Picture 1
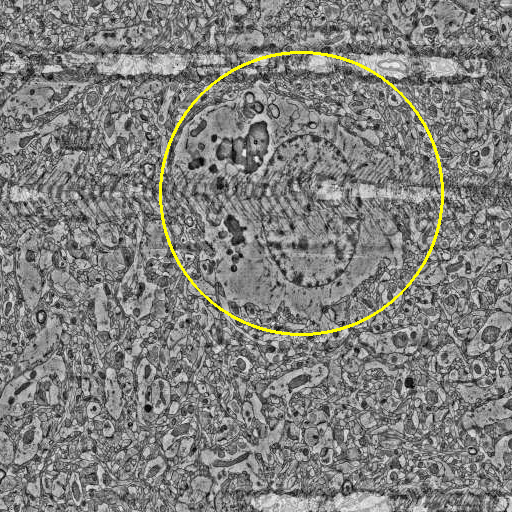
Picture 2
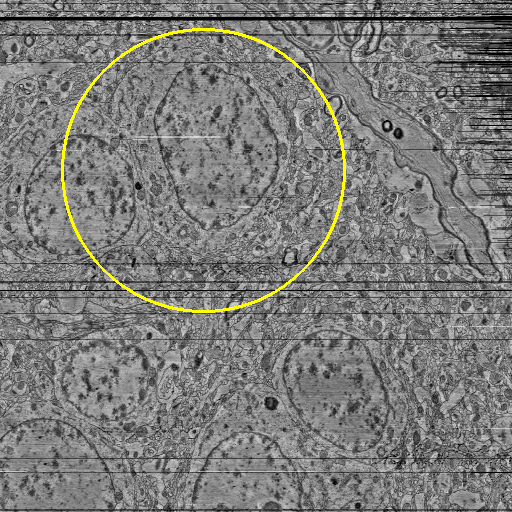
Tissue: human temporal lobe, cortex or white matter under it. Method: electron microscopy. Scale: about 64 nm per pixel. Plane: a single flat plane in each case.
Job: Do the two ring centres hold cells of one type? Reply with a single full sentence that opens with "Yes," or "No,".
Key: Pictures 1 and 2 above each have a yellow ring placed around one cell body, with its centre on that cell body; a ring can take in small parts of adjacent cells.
No, the cells at the two ring centres are of two separate types.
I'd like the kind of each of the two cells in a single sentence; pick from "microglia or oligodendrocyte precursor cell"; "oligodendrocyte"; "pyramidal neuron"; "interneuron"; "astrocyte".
The first ring marks an astrocyte, and the second ring marks a pyramidal neuron.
